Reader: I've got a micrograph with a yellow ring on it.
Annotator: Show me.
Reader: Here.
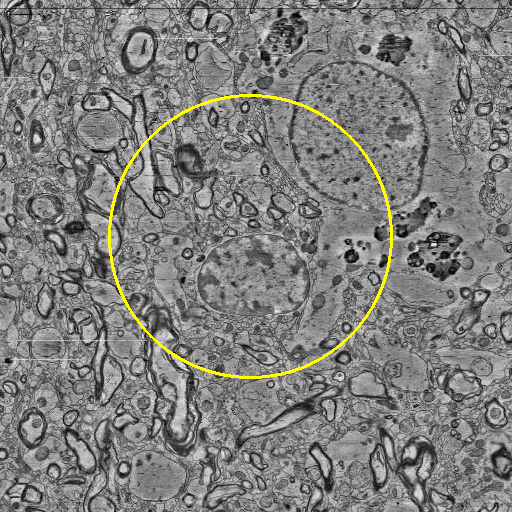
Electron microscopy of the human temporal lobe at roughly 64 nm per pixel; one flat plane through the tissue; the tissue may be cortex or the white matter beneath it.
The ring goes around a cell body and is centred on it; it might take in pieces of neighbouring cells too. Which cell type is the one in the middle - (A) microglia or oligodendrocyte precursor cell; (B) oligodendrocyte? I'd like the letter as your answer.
A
